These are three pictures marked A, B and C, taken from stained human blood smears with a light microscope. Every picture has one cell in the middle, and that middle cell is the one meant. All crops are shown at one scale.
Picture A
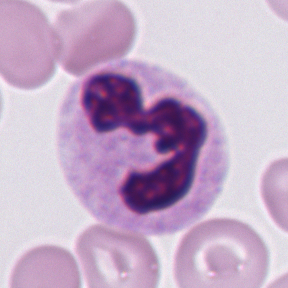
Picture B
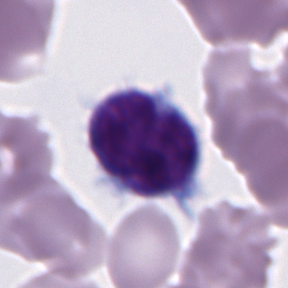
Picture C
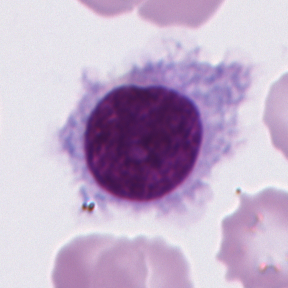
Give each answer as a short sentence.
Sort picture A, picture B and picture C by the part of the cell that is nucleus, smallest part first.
The least filled comes first: A, C, B.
